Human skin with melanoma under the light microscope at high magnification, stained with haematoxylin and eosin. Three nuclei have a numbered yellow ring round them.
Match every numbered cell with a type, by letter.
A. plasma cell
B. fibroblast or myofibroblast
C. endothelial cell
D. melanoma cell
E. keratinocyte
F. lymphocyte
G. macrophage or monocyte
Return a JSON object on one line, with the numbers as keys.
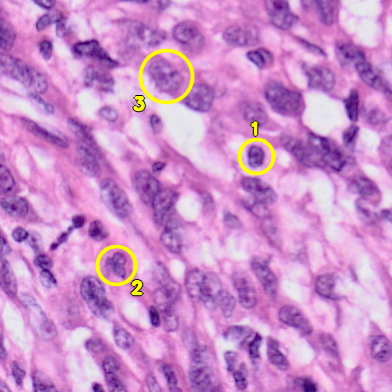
{"1": "F", "2": "G", "3": "D"}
